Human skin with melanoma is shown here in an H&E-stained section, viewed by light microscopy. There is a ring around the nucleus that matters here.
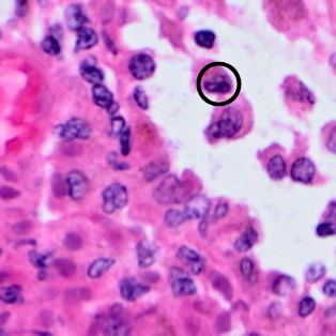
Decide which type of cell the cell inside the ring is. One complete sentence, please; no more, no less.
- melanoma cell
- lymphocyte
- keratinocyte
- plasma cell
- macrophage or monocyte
In this field of tissue, the cell inside the ring is a macrophage or monocyte.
